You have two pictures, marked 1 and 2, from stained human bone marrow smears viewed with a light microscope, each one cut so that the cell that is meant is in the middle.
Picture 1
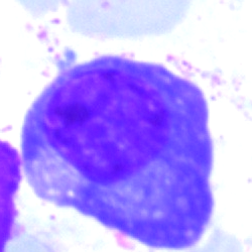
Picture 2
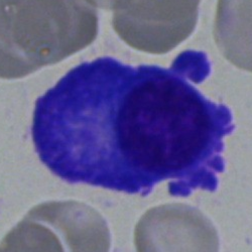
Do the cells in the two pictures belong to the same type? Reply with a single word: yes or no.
yes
